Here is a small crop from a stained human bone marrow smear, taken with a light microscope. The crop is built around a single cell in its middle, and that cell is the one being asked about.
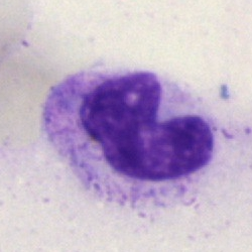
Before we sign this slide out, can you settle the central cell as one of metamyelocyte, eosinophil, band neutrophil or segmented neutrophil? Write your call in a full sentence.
The cell at the middle of the frame should be recorded as a band neutrophil.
